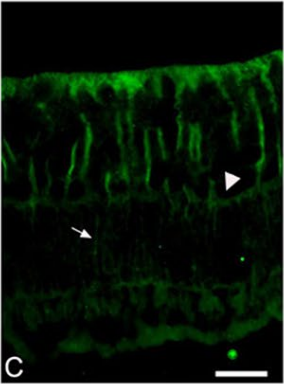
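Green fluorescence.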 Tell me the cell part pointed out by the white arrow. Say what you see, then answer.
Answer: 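Thin green vertical strands extend downward through the retina. The arrow points to one of these fine radial strands.
Conclusion: Müller processes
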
